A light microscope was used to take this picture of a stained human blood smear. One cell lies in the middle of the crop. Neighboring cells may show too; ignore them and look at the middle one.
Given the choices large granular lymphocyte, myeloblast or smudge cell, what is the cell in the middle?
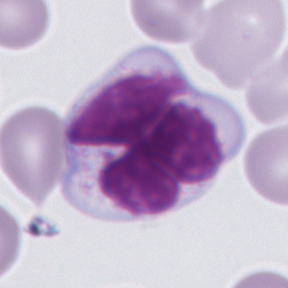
large granular lymphocyte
